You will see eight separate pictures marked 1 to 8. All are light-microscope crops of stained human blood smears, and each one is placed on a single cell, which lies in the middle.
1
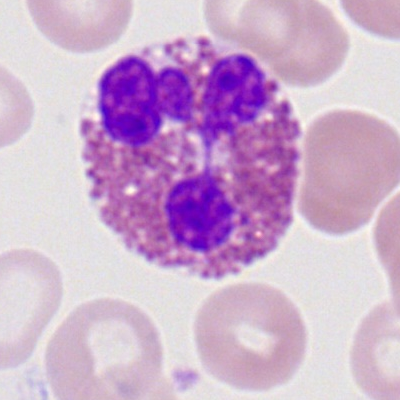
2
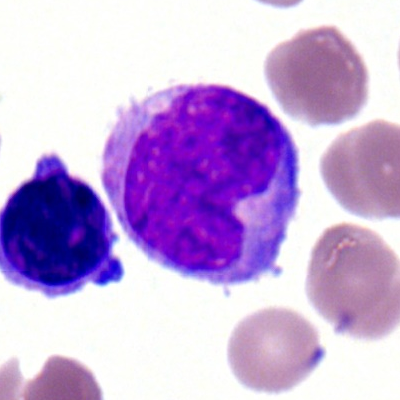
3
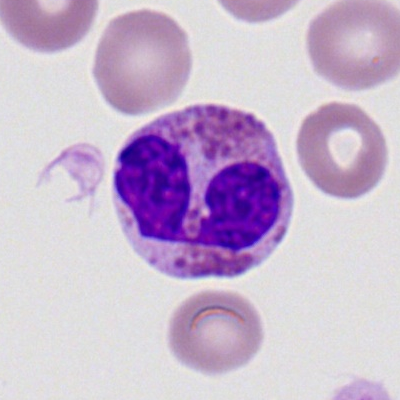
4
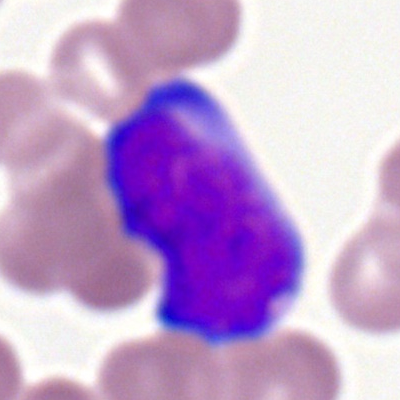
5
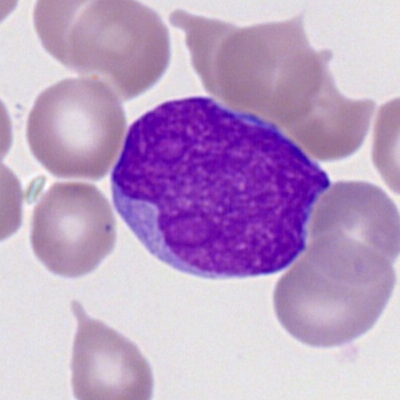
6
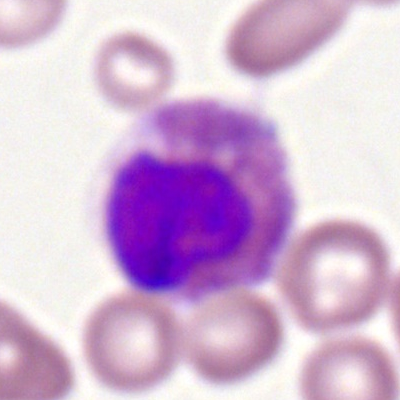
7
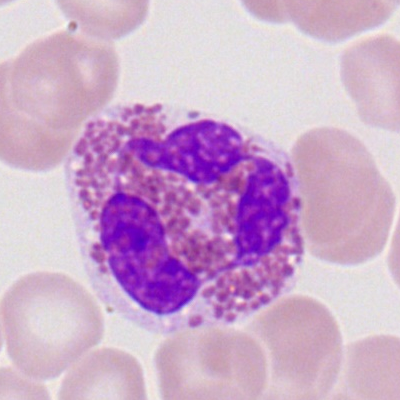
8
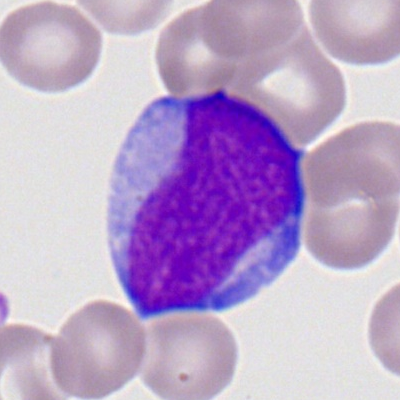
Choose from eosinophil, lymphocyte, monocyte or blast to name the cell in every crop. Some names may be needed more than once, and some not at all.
1: eosinophil
2: monocyte
3: eosinophil
4: blast
5: blast
6: eosinophil
7: eosinophil
8: blast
